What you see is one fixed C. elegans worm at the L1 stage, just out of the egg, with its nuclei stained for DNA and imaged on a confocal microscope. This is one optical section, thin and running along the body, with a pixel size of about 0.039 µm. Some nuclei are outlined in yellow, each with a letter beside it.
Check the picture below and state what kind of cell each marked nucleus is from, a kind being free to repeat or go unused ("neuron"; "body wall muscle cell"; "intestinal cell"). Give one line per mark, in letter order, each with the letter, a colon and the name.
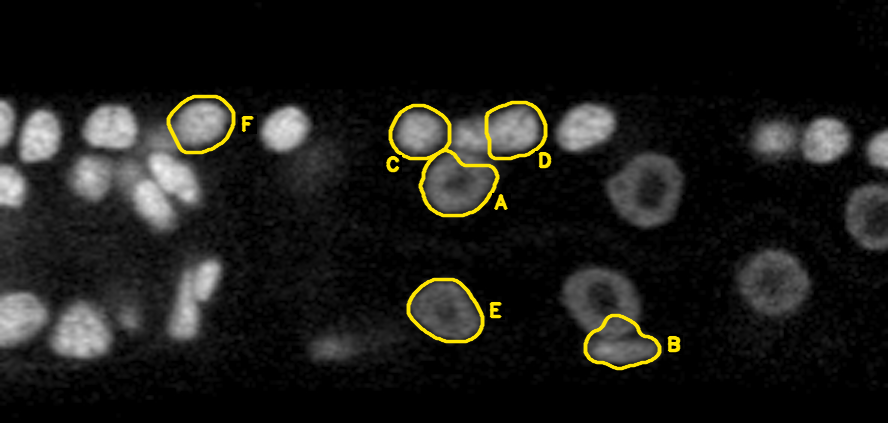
A: intestinal cell
B: body wall muscle cell
C: neuron
D: neuron
E: intestinal cell
F: neuron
